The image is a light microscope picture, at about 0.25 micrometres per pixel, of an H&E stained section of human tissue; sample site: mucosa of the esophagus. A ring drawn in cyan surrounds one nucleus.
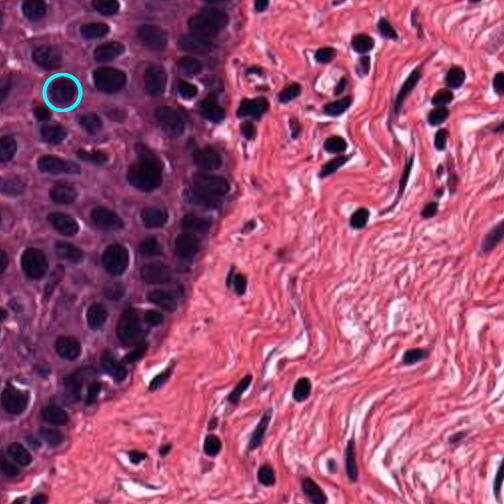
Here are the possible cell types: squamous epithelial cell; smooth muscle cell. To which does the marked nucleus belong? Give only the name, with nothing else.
squamous epithelial cell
